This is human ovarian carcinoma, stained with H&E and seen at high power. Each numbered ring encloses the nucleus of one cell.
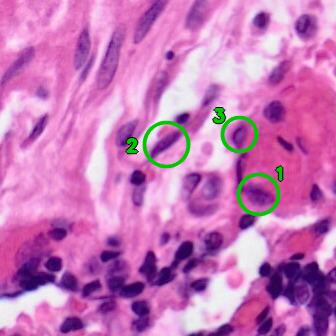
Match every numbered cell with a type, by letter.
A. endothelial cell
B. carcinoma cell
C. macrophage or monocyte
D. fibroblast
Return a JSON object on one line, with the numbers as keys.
{"1": "A", "2": "D", "3": "D"}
